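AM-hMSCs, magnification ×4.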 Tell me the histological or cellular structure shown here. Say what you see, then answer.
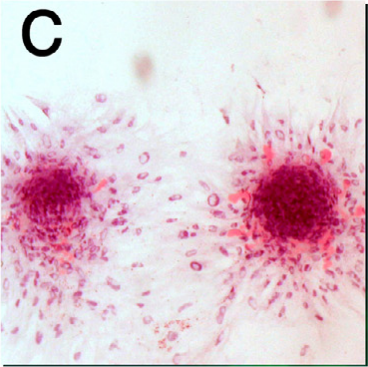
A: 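Small colonies. Two small dense round clusters of cells. Cells radiate outward from each cluster into the surrounding sparse layer.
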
